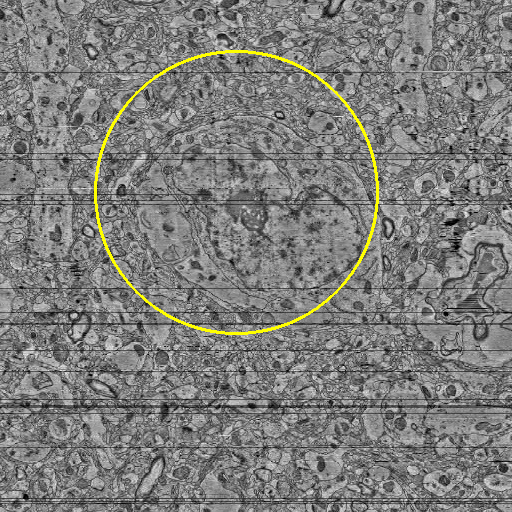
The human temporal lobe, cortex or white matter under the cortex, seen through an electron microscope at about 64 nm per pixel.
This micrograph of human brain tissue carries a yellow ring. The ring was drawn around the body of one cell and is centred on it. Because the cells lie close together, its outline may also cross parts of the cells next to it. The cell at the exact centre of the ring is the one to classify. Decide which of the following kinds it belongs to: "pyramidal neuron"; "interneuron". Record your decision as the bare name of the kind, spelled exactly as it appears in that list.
interneuron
